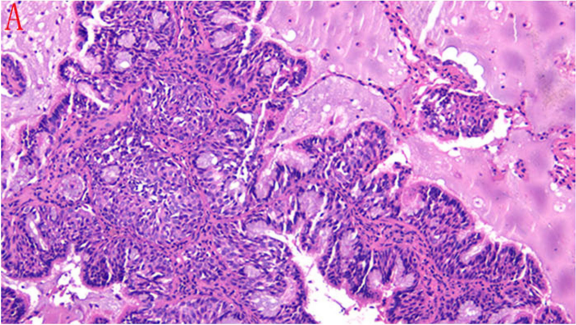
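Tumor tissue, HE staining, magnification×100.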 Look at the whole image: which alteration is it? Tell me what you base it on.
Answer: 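Epithelium-covered fronds with fibrovascular cores project into a space. The fronds are lined by a multilayered epithelium along their surfaces.
Papillary growth.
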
